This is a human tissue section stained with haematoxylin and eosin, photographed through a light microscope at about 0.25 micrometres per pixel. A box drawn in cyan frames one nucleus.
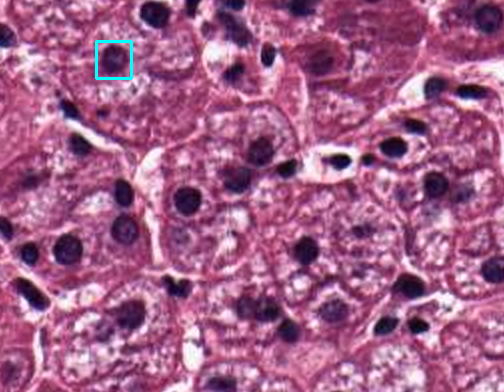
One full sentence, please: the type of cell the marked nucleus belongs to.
Singled out by the mark is the nucleus of an adrenal cortical cell.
